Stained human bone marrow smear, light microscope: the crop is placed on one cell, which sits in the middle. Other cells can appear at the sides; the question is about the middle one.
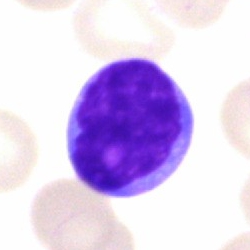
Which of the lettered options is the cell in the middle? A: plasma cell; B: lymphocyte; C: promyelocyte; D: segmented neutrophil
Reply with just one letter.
B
